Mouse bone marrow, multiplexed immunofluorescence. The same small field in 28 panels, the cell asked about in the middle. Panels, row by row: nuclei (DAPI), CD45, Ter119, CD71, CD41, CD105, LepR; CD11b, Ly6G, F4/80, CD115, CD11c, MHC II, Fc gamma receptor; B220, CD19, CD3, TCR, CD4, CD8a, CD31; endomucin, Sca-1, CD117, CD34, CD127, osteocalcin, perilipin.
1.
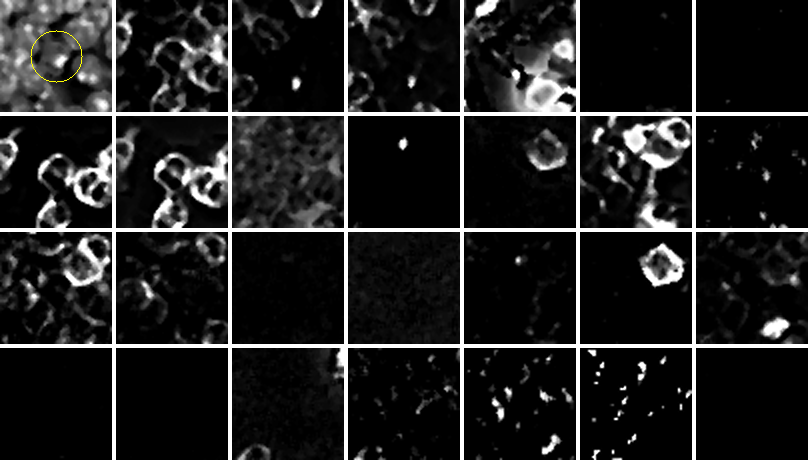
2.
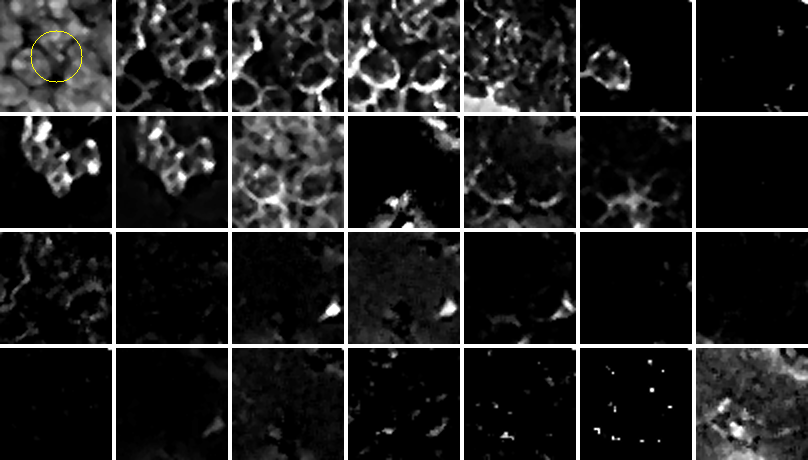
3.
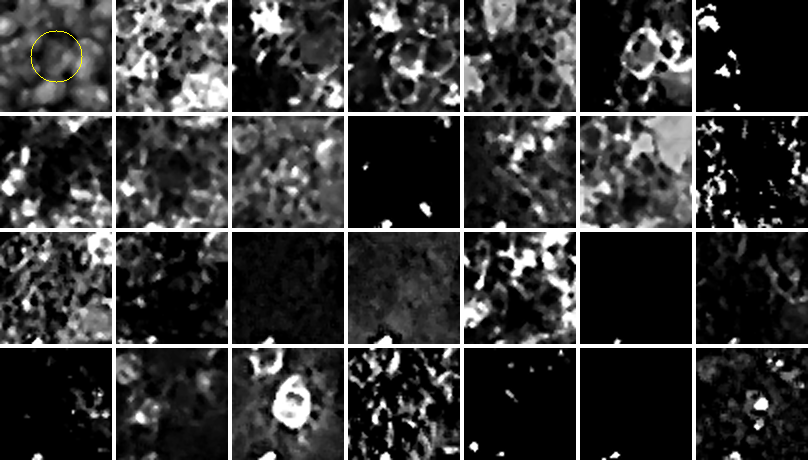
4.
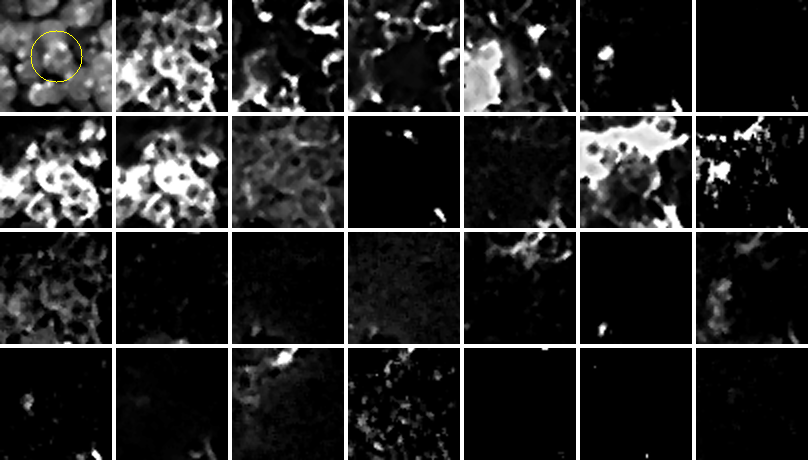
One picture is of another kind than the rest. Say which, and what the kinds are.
Picture 3 shows a conventional dendritic cell; the rest show neutrophils.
